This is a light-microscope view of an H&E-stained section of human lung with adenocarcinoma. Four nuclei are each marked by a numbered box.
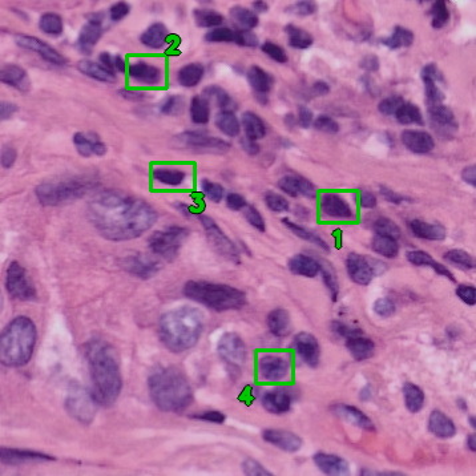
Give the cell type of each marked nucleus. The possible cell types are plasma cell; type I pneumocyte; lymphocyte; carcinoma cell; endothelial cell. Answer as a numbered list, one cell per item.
1. plasma cell
2. lymphocyte
3. lymphocyte
4. lymphocyte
